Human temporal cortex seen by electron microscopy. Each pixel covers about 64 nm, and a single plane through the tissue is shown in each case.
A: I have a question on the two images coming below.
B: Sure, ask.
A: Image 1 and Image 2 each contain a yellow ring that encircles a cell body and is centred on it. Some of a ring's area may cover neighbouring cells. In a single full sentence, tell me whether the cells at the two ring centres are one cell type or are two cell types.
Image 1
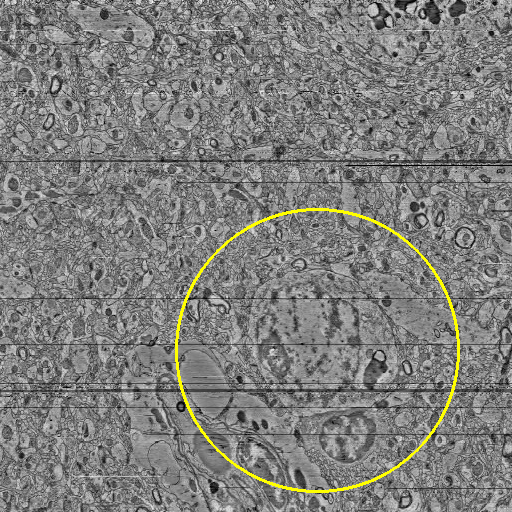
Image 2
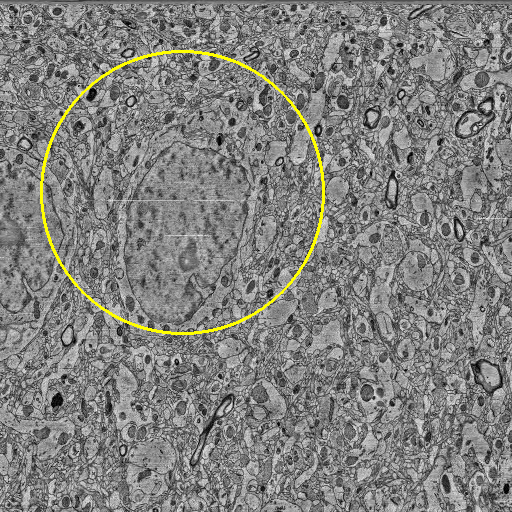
As for the ring-centre cells, the one in Image 1 and the one in Image 2 are one cell type.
